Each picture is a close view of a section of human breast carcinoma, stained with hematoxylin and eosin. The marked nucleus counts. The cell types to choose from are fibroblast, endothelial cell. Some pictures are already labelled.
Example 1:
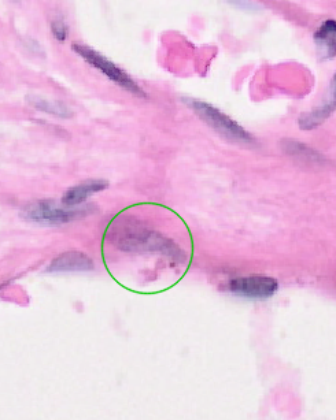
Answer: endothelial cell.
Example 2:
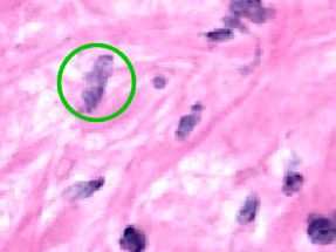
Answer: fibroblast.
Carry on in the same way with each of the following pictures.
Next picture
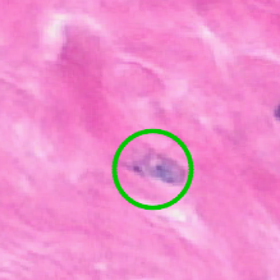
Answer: fibroblast.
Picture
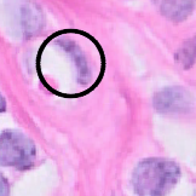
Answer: endothelial cell.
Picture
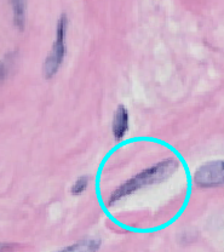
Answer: endothelial cell.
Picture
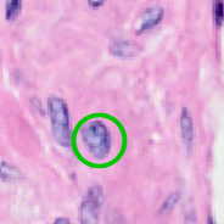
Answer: endothelial cell.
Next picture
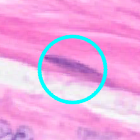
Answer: fibroblast.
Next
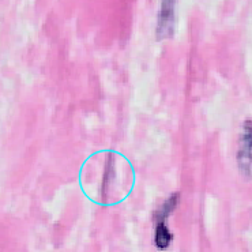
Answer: fibroblast.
